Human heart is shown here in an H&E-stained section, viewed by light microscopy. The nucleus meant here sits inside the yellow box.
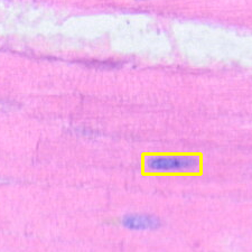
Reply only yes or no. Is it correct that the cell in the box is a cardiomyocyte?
yes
